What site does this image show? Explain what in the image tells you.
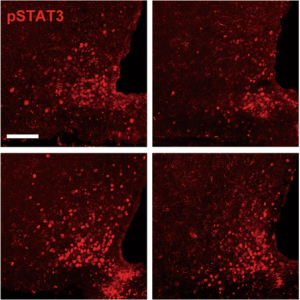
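A dark ventricle-like slit borders the right edge of each image. Labelled nuclei cluster at the ventral base of the brain beside that slit. That points to this answer: arcuate nucleus.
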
